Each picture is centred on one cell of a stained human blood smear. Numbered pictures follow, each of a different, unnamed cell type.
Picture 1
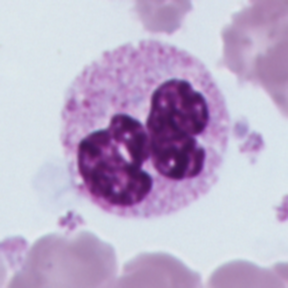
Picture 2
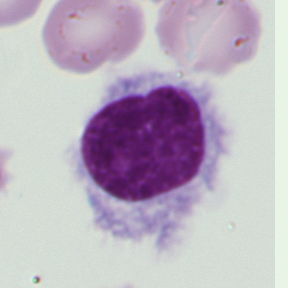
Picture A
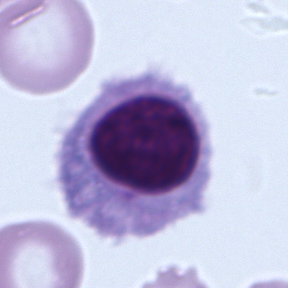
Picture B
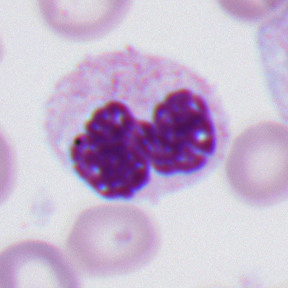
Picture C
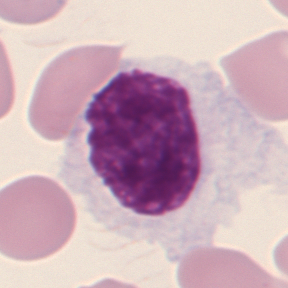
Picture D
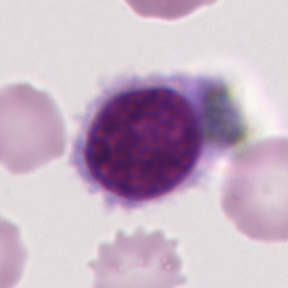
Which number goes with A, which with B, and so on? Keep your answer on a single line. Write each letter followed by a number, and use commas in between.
A 2, B 1, C 2, D 2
